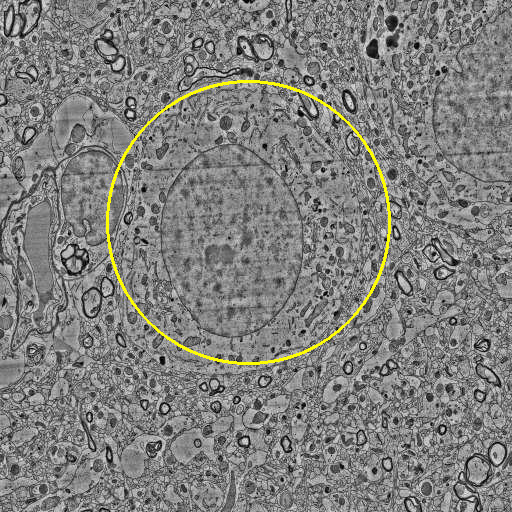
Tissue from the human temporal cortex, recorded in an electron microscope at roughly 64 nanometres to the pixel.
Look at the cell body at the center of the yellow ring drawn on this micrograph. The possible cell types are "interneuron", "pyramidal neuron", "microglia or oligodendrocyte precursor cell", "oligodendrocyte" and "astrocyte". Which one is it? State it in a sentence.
The cell in the middle of the ring is an interneuron.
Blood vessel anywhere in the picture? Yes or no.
Yes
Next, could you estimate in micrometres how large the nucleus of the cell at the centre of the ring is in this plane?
Approximately 12 micrometres long and 9 micrometres wide, in this plane.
